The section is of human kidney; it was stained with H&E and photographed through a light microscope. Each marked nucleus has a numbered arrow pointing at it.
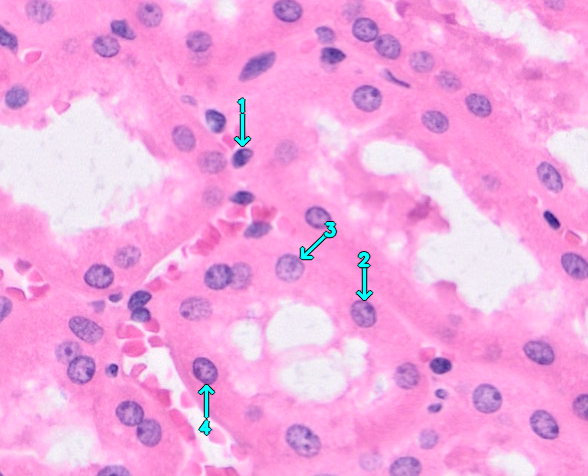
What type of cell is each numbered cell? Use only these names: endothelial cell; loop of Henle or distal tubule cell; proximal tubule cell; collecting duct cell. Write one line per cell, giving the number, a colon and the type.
1: endothelial cell
2: proximal tubule cell
3: proximal tubule cell
4: proximal tubule cell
